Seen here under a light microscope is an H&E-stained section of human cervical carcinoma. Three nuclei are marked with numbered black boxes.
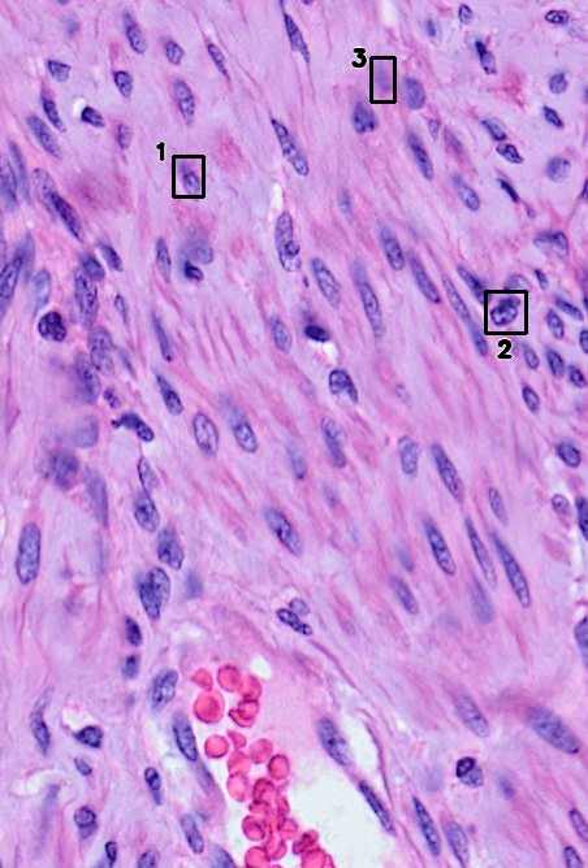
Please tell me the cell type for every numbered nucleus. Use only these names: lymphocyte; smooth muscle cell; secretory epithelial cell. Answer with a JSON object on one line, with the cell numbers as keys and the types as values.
{"1": "smooth muscle cell", "2": "lymphocyte", "3": "smooth muscle cell"}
